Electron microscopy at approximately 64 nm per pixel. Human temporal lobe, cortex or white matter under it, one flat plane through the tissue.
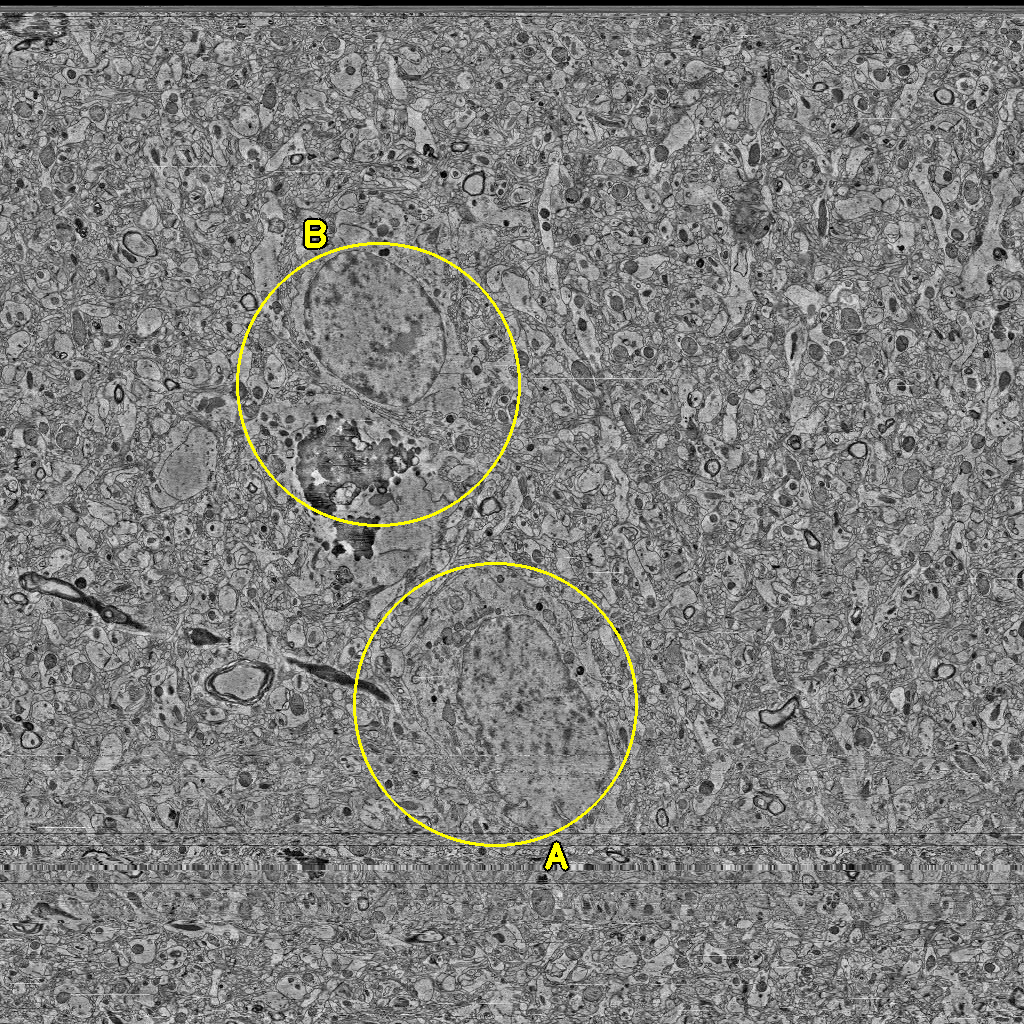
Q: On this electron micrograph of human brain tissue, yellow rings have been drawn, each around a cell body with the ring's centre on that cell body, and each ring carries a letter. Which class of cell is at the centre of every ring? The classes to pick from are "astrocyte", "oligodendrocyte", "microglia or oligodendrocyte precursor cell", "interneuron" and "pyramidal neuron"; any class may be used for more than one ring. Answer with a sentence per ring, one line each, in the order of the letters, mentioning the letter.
The centre of ring A is occupied by an interneuron.
The centre of ring B is occupied by an astrocyte.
